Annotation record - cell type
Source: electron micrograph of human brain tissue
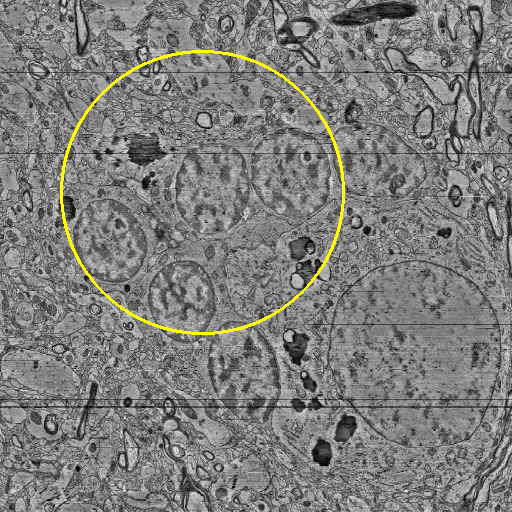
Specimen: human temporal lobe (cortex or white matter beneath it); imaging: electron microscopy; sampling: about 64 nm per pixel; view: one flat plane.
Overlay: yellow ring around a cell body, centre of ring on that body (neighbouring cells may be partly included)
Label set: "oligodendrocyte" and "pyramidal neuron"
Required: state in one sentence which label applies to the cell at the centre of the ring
This cell should be labelled as an oligodendrocyte.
